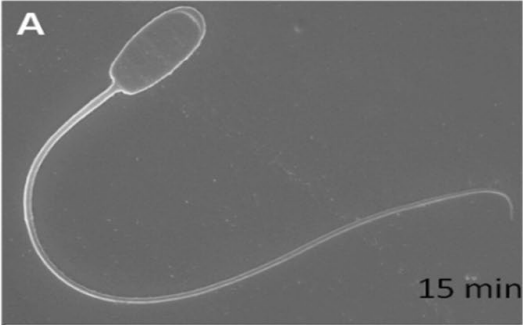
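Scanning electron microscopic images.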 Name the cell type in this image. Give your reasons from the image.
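A flat oval head is attached to a single long thin tail. The tail curves in a long loop and tapers toward its end. The answer: spermatozoa.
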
